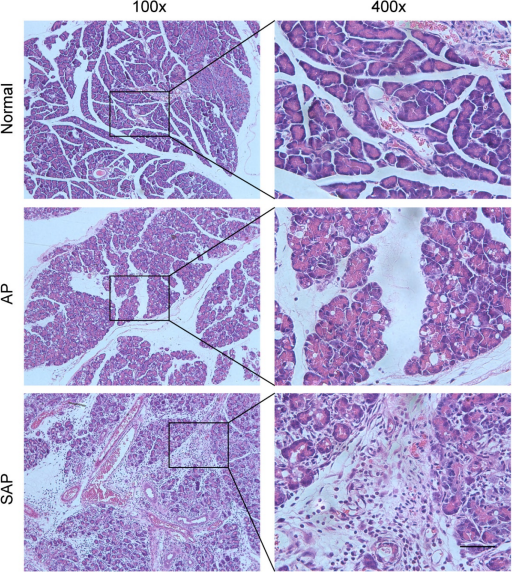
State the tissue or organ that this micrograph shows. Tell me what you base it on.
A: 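Pancreas. Lobules of densely packed glandular acini separated by pale connective septa. Acinar cells with purple basal cytoplasm and round nuclei arranged around small lumina. Small ducts and blood vessels lie in the interlobular septa.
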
